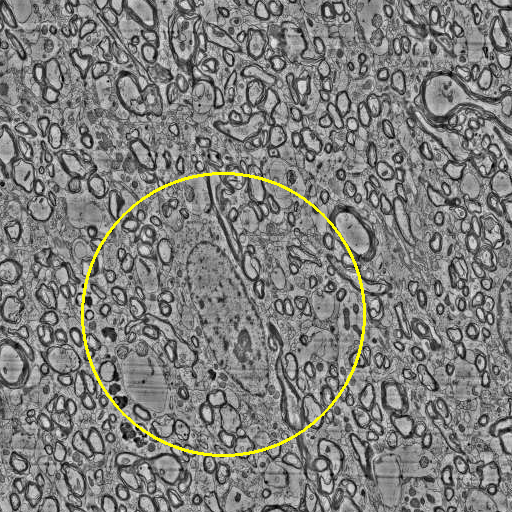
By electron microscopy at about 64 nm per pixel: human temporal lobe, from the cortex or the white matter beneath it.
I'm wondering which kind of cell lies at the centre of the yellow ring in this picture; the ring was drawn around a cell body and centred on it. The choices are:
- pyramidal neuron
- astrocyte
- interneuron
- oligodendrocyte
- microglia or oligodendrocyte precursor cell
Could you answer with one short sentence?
At the centre of the ring lies an astrocyte.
